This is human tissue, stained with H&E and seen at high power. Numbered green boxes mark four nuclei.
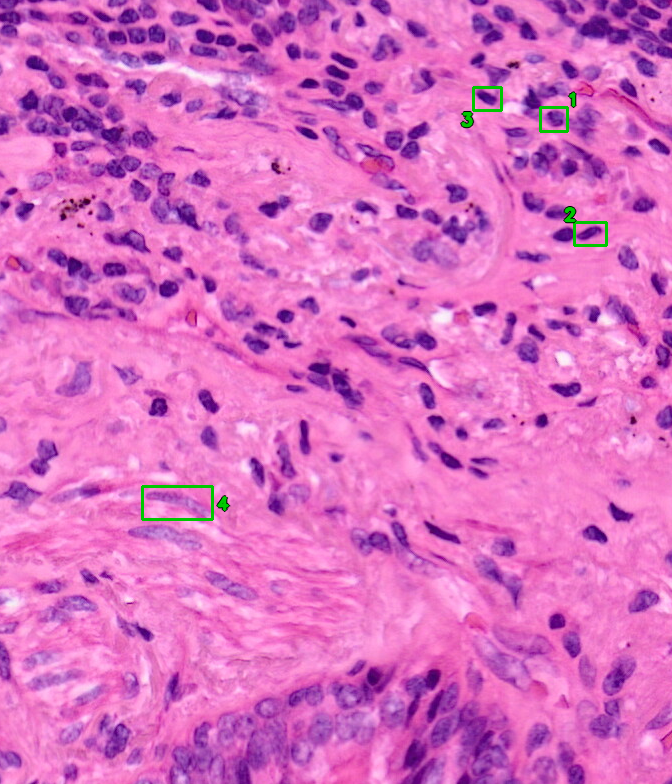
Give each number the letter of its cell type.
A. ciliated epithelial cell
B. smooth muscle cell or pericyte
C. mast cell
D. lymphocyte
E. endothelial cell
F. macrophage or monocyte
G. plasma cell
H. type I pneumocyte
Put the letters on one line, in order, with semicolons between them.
D; D; D; B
